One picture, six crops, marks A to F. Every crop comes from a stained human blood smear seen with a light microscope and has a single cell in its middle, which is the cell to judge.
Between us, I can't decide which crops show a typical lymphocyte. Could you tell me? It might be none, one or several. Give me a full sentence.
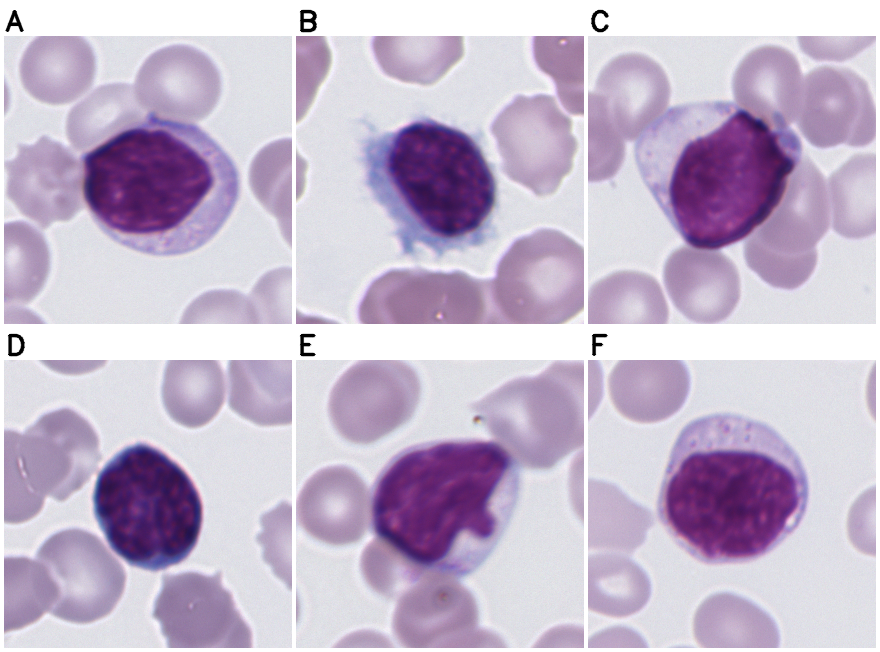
Crop D is the lone crop showing a typical lymphocyte.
